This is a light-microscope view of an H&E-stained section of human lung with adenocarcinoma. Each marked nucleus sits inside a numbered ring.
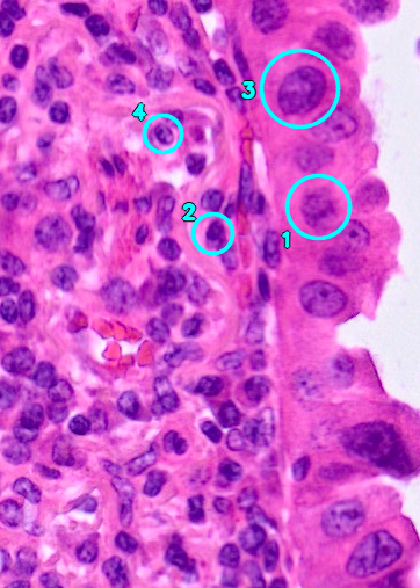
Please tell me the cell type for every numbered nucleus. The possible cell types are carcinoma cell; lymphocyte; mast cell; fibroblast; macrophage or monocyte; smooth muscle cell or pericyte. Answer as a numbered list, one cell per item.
1. carcinoma cell
2. lymphocyte
3. carcinoma cell
4. lymphocyte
